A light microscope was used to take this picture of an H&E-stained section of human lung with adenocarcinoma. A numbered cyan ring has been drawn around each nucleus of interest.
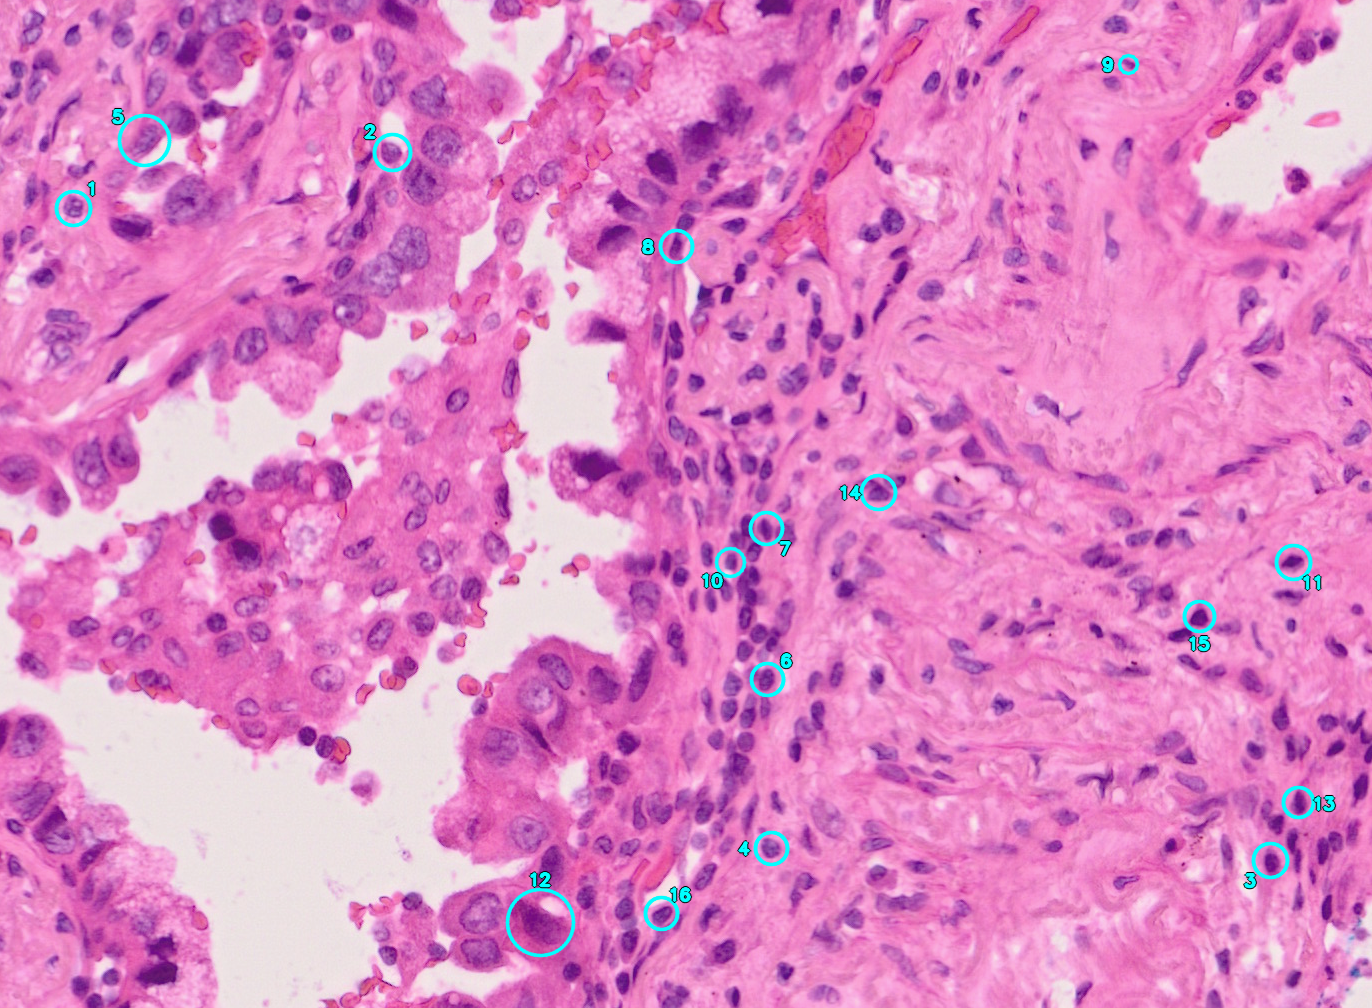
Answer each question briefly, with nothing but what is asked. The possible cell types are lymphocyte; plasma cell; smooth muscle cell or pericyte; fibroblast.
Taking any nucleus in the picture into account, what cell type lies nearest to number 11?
fibroblast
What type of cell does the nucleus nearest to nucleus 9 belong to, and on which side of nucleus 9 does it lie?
a smooth muscle cell or pericyte below and to the left of nucleus 9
